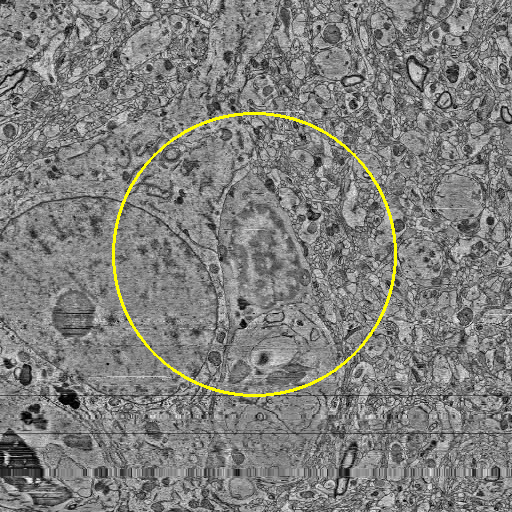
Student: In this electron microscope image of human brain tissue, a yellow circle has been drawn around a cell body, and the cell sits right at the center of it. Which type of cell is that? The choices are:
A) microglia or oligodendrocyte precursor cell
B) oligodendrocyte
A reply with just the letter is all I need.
B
